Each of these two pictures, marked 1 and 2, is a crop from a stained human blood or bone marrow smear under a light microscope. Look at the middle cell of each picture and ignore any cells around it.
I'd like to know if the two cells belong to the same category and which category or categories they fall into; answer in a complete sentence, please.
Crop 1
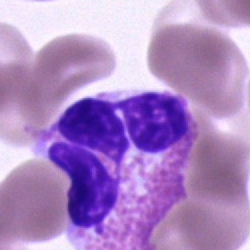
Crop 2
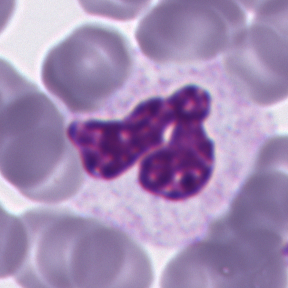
No, the central cell of crop 1 is an eosinophil; that of crop 2 is a segmented neutrophil.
